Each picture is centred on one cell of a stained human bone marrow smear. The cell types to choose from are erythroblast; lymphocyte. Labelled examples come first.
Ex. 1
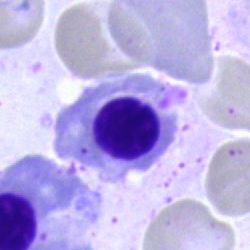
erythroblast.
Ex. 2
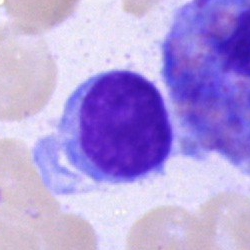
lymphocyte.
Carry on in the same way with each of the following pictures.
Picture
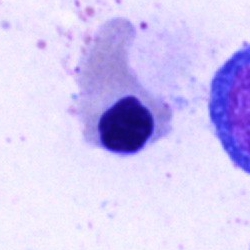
erythroblast.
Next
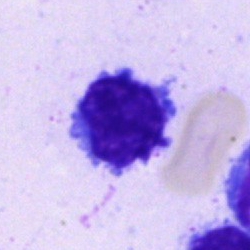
lymphocyte.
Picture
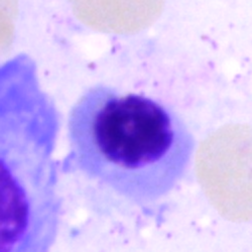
erythroblast.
